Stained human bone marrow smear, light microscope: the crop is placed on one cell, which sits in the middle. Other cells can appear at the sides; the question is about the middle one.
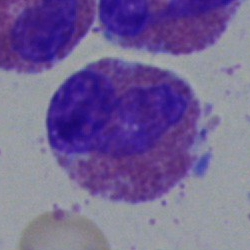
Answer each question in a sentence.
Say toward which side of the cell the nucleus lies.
The nucleus sits off-centre, toward the upper left.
